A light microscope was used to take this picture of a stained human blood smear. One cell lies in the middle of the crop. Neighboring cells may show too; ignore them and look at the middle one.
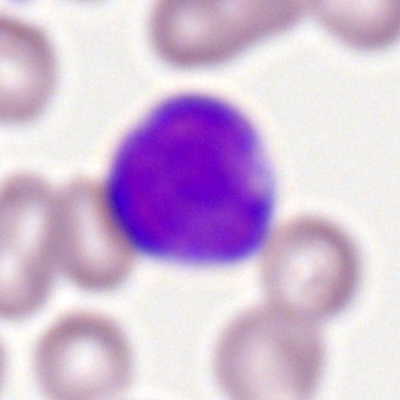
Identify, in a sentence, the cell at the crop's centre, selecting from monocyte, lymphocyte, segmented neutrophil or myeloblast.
The middle of this crop is occupied by a myeloblast.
